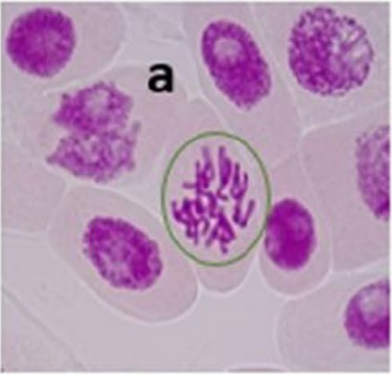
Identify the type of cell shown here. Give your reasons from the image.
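Root tip meristem cells. Several cells are in division with condensed chromosomes.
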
